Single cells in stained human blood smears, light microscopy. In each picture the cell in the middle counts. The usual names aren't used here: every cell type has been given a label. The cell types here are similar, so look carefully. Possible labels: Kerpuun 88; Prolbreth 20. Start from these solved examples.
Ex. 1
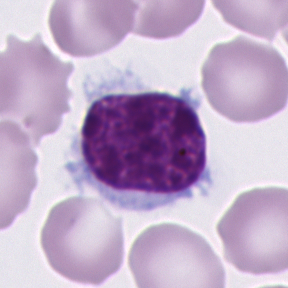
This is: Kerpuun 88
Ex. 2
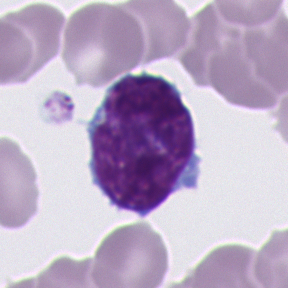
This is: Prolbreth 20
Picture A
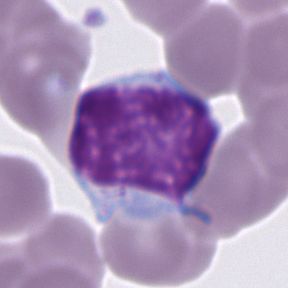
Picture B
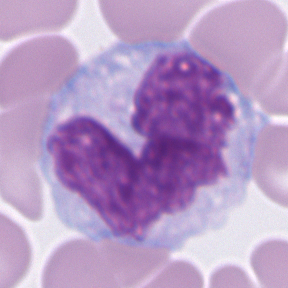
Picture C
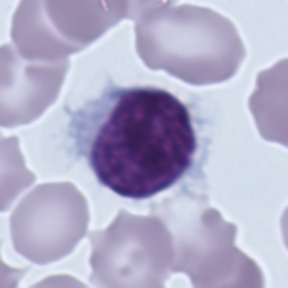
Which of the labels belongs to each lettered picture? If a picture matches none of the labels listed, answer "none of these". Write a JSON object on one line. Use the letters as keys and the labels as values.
{"A": "Prolbreth 20", "B": "none of these", "C": "Kerpuun 88"}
